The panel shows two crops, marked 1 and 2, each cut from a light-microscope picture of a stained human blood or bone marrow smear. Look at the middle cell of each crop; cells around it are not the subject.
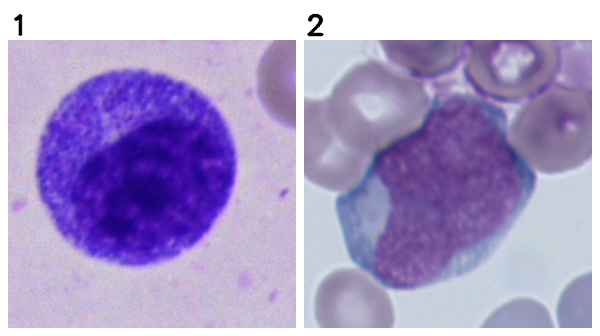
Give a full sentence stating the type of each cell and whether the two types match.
No, crop 1 features a myelocyte, and crop 2 features a blast.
